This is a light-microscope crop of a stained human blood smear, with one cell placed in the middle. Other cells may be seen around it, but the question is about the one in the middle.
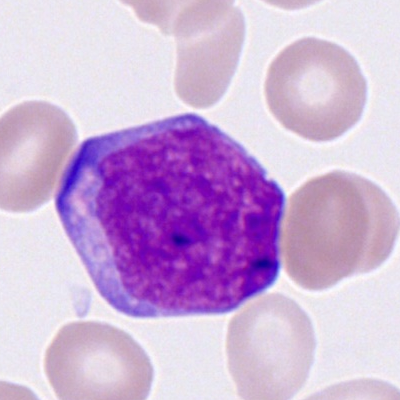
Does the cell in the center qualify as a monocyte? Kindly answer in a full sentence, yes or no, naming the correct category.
No, the cell sitting in the centre of the crop is a myeloblast, not a monocyte.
